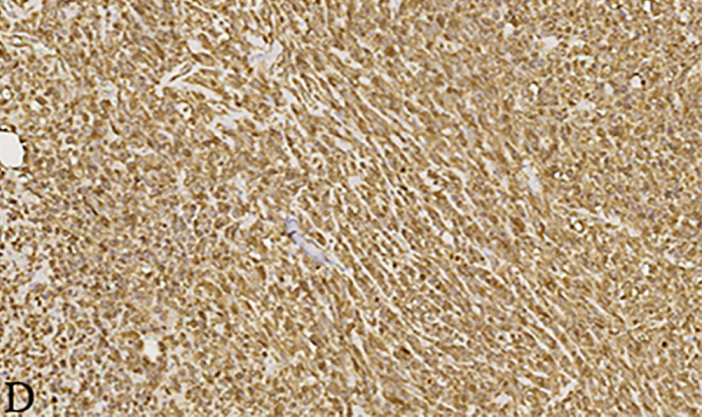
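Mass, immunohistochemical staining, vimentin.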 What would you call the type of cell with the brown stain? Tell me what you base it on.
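Brown stain fills the cytoplasm of nearly all cells. The stained cells are elongated and arranged in fascicles. That points to this answer: spindle tumor cells.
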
